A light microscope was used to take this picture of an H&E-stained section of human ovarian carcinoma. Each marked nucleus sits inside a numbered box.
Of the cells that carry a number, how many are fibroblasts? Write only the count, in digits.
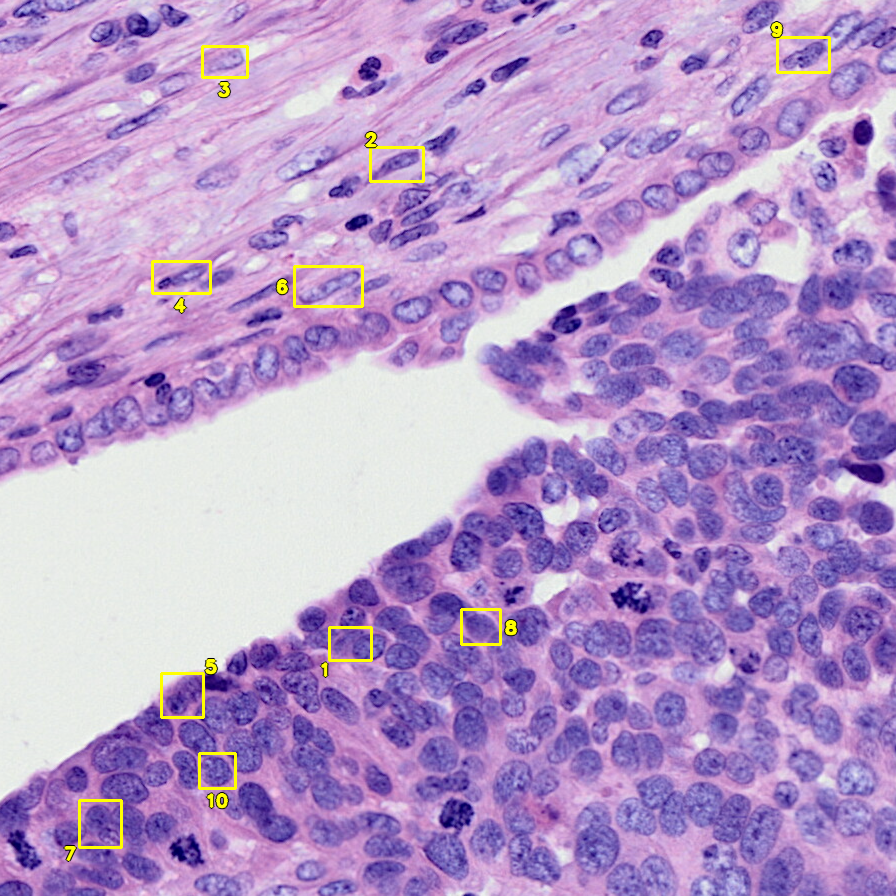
4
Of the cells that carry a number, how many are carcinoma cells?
5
